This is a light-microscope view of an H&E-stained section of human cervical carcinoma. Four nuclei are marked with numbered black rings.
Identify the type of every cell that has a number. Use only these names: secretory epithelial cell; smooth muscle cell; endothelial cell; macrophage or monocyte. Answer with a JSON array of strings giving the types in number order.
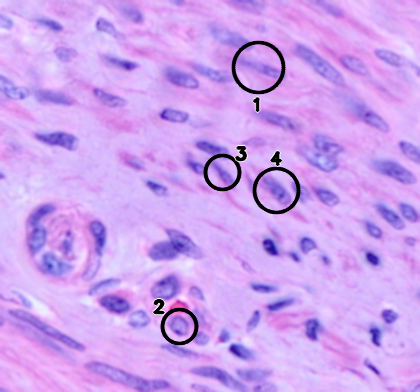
["smooth muscle cell", "endothelial cell", "smooth muscle cell", "smooth muscle cell"]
